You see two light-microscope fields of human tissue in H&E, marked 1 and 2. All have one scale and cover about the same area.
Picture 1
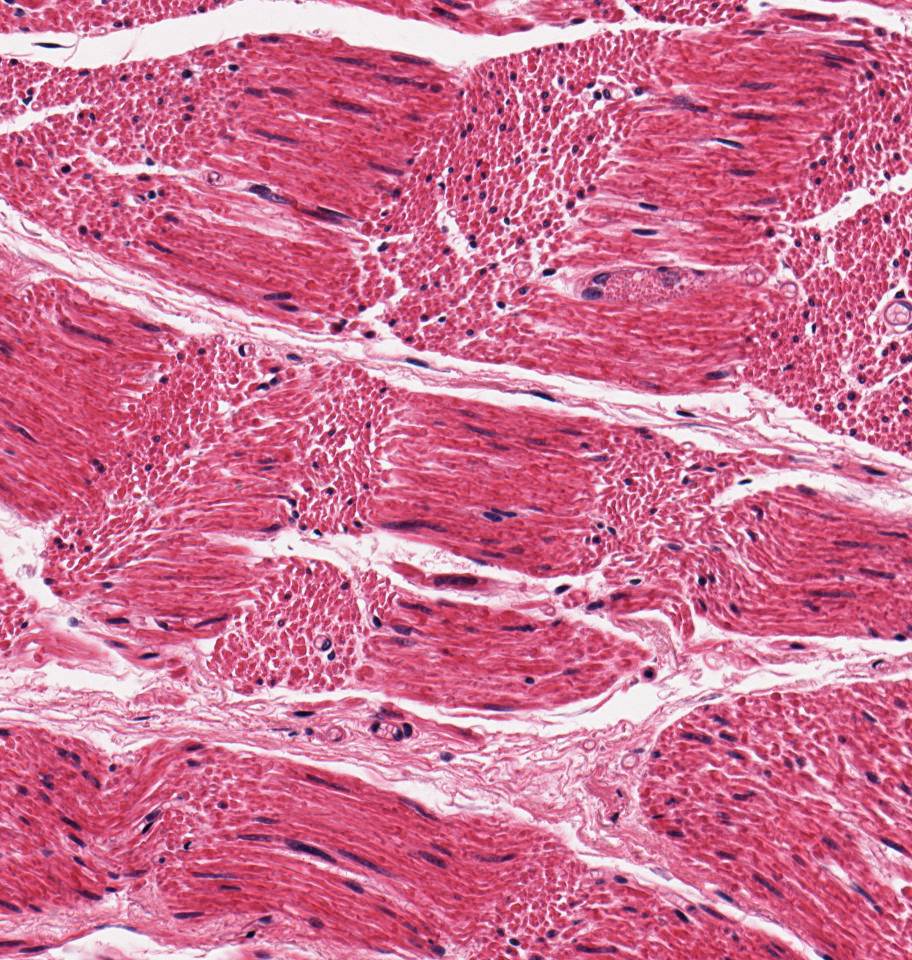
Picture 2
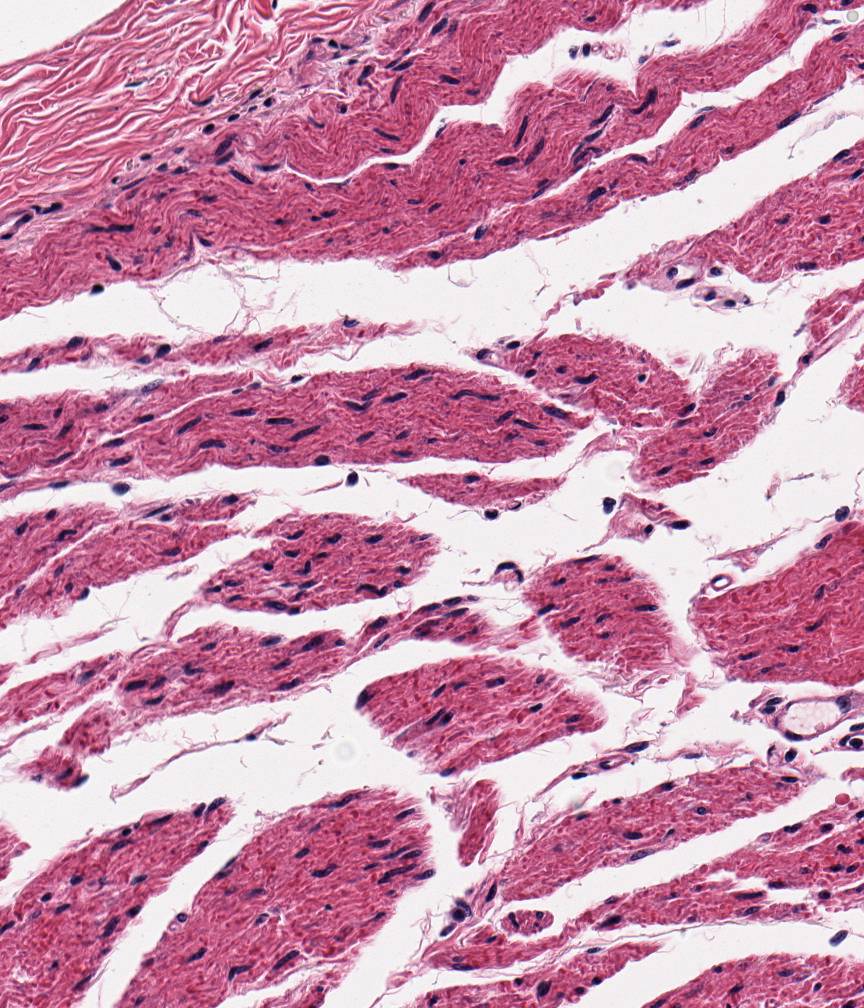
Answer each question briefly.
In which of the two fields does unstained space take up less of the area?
1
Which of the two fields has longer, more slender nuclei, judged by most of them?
2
